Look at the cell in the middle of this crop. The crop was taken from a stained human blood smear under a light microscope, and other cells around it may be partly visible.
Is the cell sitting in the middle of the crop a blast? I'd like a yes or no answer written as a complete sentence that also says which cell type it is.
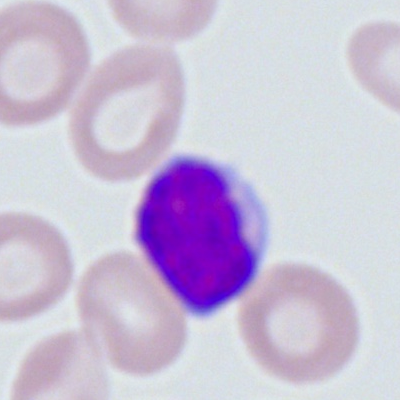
No, the central cell is classed as a lymphocyte, not a blast.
